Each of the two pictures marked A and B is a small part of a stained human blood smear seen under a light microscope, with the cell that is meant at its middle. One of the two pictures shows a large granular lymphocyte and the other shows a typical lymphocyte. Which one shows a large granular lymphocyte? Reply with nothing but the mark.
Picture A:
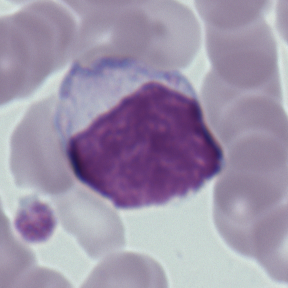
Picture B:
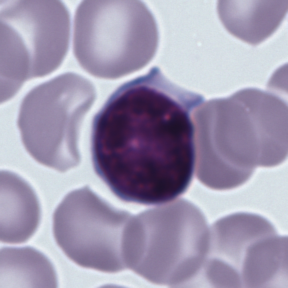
A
